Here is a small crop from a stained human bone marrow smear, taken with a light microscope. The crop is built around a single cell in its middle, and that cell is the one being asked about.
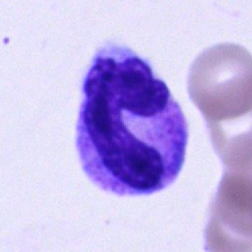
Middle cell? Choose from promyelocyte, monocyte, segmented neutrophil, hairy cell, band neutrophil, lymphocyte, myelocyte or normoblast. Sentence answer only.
The cell shown in the center of this light-microscope crop is a band neutrophil.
